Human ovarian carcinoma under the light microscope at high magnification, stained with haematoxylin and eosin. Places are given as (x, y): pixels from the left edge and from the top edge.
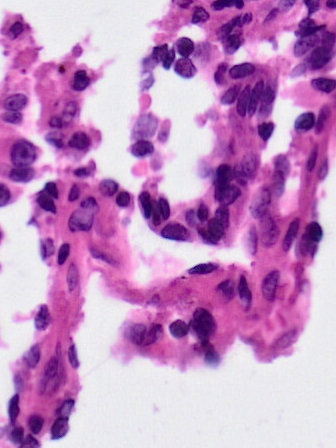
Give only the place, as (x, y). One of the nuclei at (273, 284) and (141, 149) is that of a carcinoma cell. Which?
(141, 149)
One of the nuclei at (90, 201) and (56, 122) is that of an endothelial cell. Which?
(90, 201)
